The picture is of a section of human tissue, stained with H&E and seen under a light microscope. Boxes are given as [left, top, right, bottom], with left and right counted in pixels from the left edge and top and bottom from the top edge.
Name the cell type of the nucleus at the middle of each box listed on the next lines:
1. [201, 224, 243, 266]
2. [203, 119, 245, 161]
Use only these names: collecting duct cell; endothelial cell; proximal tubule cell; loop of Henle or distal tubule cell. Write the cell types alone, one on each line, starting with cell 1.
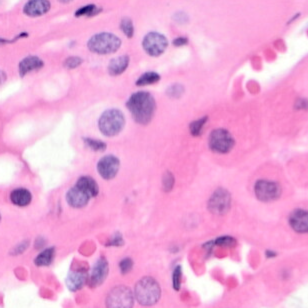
endothelial cell
proximal tubule cell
